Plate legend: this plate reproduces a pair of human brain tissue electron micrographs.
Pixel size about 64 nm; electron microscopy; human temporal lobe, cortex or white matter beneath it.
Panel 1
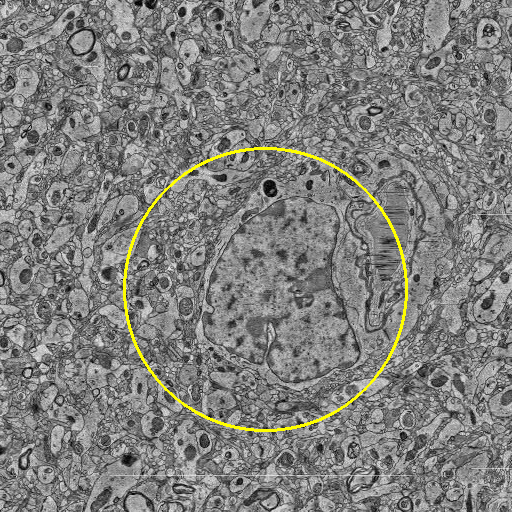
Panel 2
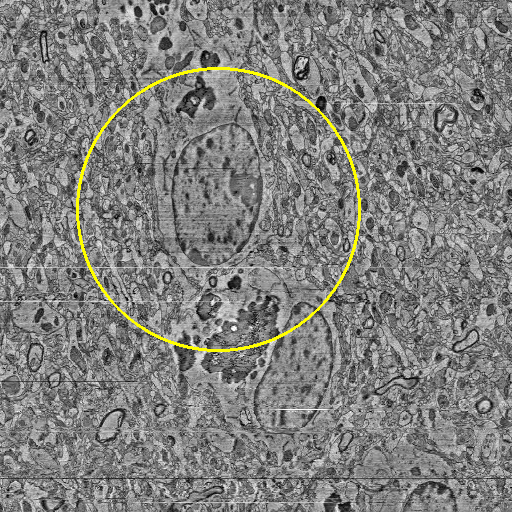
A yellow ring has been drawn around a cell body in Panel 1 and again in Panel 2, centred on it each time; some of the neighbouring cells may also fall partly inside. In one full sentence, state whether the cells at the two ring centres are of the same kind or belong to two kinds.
The ring-centred cells of Panel 1 and Panel 2 belong to two kinds.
